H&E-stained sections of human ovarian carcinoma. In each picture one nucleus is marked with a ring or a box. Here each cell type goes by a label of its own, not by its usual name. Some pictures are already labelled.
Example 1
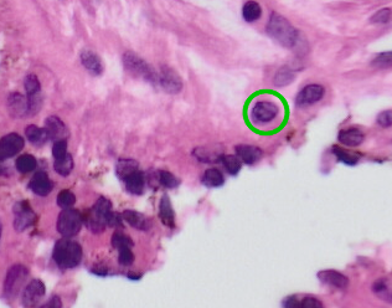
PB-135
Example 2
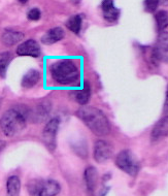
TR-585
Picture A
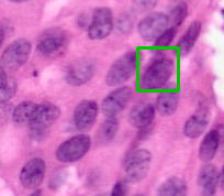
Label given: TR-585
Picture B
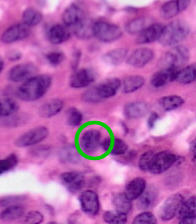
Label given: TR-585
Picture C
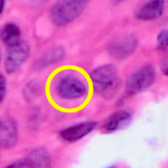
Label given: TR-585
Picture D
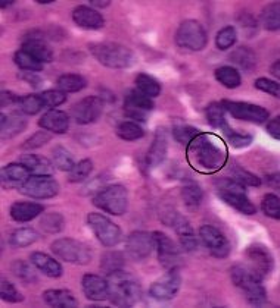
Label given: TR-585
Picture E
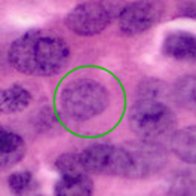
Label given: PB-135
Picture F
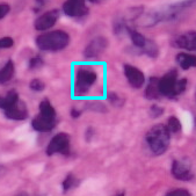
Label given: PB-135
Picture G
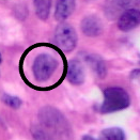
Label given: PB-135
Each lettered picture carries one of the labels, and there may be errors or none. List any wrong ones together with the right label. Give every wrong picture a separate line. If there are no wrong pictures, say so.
C: PB-135, not TR-585
E: TR-585, not PB-135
